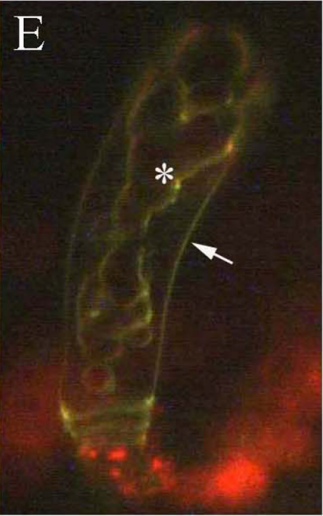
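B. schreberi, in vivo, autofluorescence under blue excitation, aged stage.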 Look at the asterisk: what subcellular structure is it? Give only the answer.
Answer: Large spotty-like and twisted protoplast.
